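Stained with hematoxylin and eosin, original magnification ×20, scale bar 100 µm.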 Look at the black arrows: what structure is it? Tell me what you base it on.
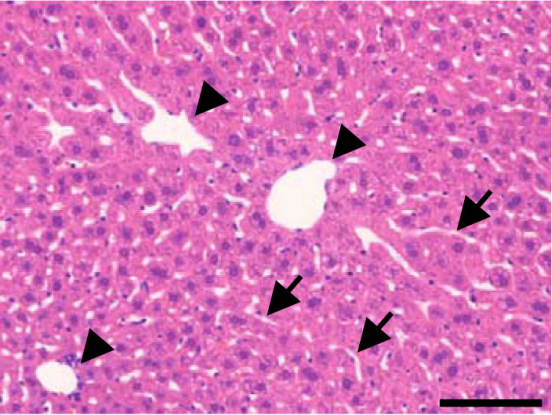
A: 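The arrows point to narrow white clefts running between rows of hepatocytes. The clefts are lined by a few flat, dark nuclei. On this evidence: sinusoids.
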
